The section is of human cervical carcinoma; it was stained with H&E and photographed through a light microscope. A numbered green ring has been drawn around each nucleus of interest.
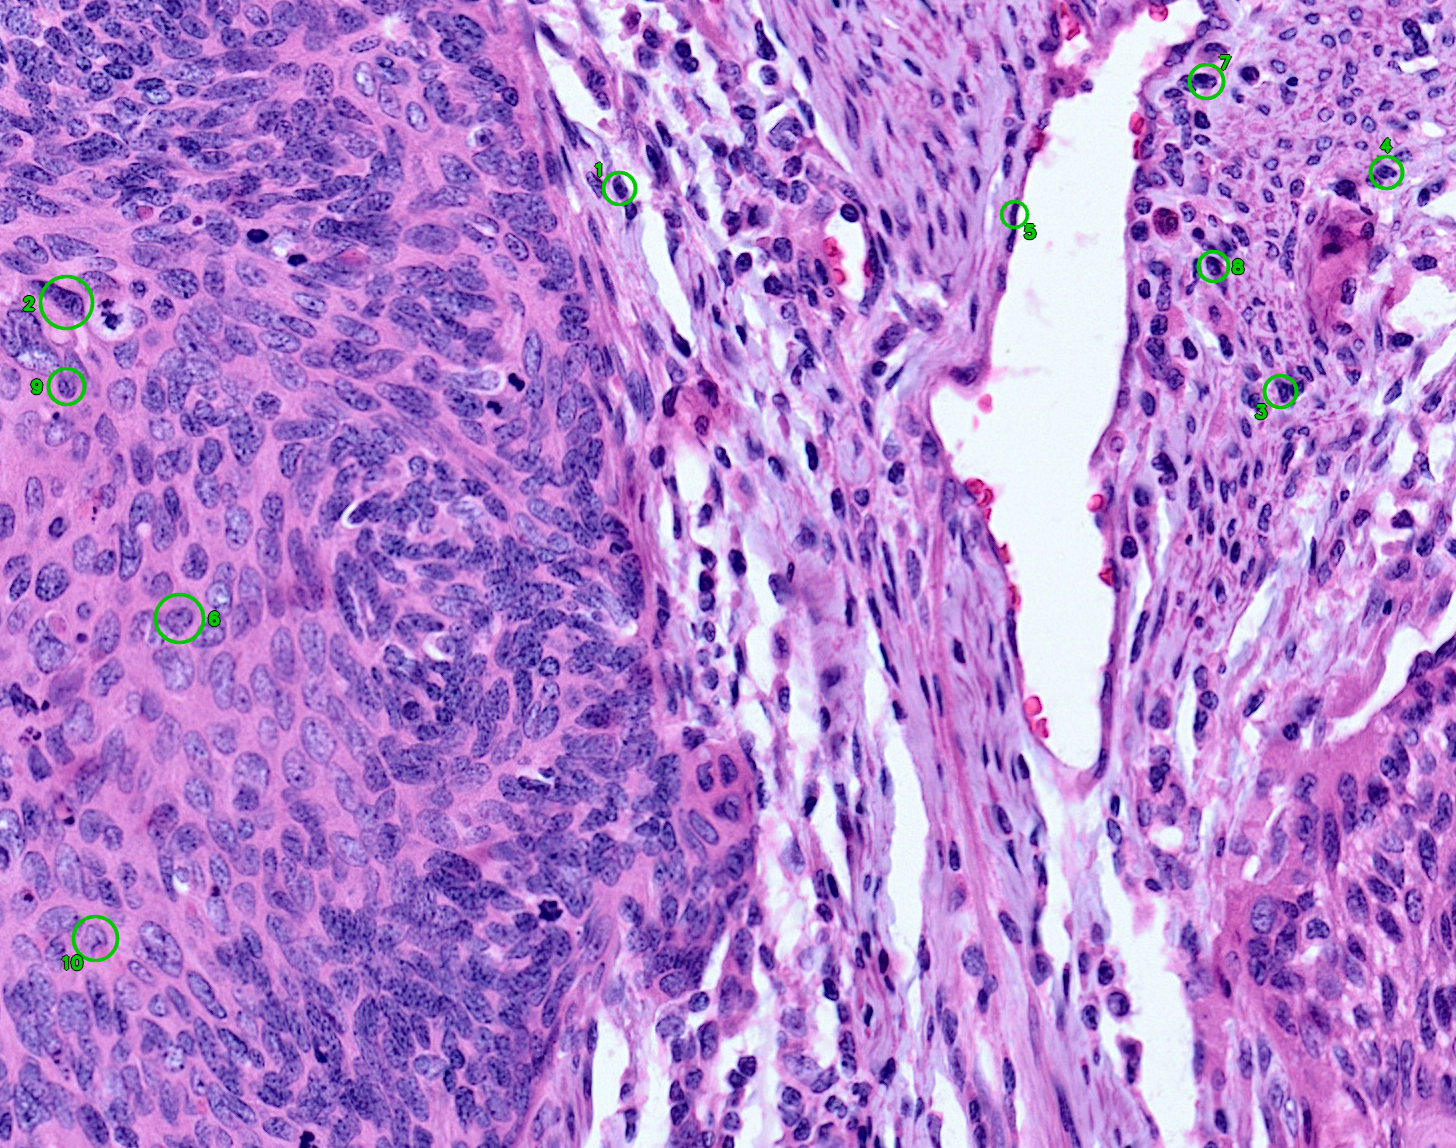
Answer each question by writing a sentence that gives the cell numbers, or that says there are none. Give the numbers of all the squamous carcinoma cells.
The cells which carry the numbers 2, 6, 9 and 10 are squamous carcinoma cells.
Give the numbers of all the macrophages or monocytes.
Each numbered cell falls outside the category of macrophages or monocytes.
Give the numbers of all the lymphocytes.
Cells numbered 1, 3, 4, 7 and 8 belong to the group of lymphocytes.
